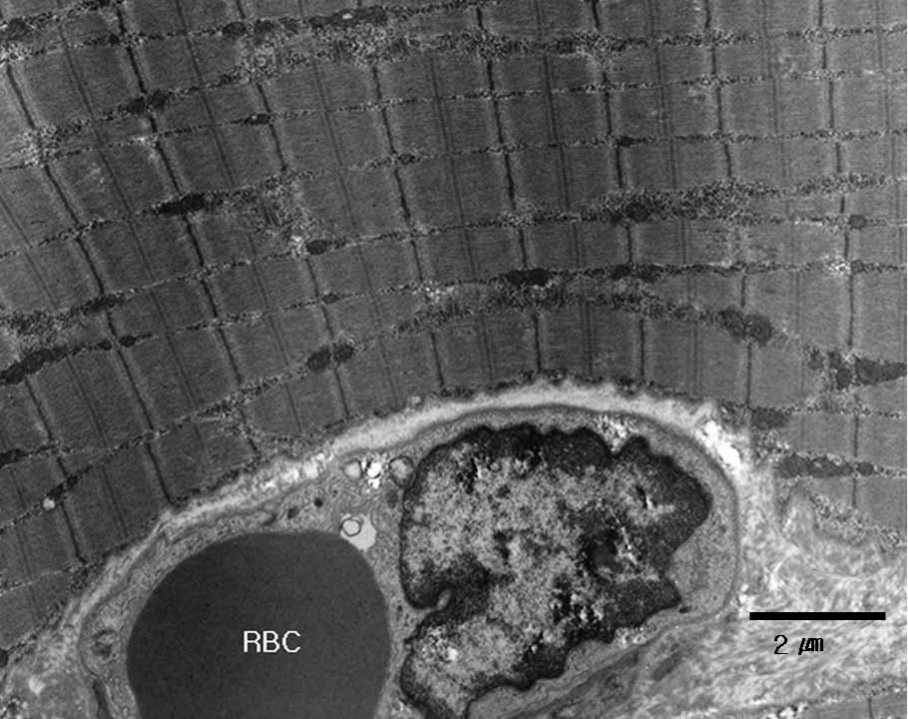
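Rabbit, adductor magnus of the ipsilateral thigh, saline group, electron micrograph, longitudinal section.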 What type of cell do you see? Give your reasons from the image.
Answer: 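A large irregular nucleus with peripheral dark chromatin lies at the bottom. Its thin cytoplasm lines a lumen that holds a red blood cell.
Hence: An endothelial cell.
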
